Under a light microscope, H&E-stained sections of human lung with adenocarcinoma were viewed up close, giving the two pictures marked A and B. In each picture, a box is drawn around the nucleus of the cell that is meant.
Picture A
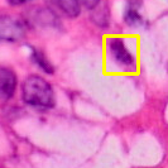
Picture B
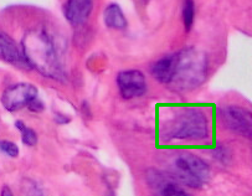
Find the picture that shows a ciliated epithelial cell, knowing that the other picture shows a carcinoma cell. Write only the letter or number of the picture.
A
